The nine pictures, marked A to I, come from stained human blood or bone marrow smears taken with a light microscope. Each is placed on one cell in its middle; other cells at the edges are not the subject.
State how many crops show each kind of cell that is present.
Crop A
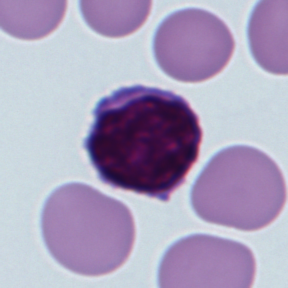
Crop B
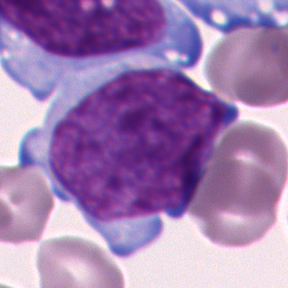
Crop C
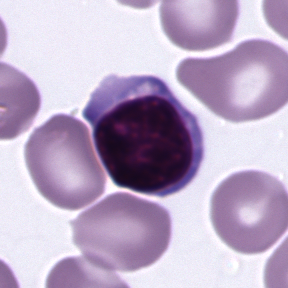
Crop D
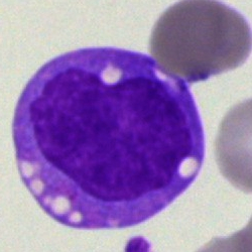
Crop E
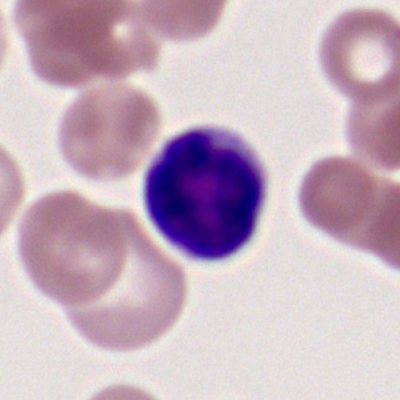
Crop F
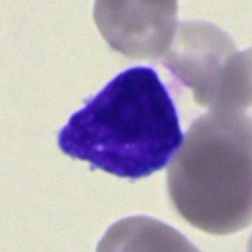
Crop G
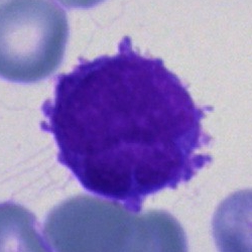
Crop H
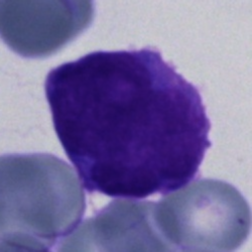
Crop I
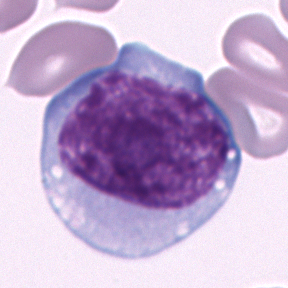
blast: 5
lymphocyte: 4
